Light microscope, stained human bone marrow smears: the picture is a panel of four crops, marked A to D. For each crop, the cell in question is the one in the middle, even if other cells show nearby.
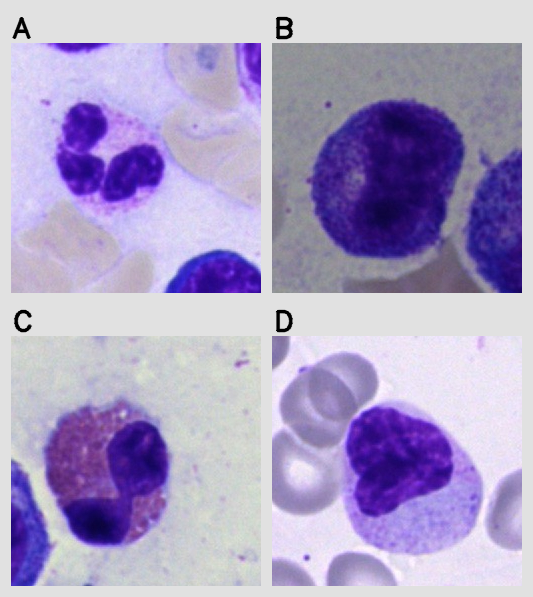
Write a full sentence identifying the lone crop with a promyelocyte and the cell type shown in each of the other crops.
While crop A is a segmented neutrophil, crop C is an eosinophil and crop D is a band neutrophil, crop B shows a promyelocyte.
